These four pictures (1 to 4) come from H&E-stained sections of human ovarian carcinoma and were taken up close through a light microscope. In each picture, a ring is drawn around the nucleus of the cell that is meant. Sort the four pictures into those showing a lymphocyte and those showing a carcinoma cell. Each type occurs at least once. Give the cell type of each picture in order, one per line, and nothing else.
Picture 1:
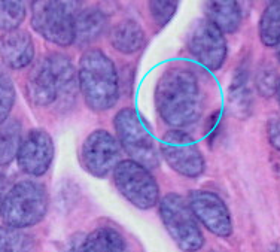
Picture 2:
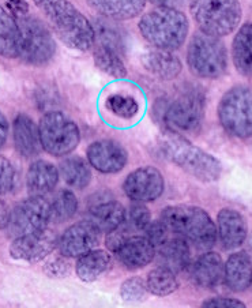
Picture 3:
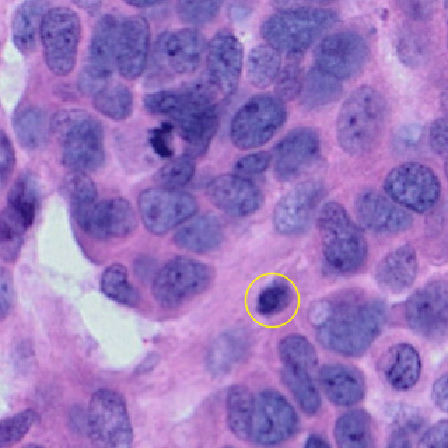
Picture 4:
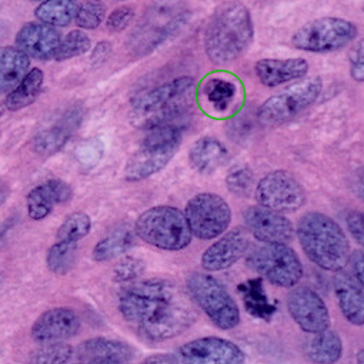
carcinoma cell
lymphocyte
lymphocyte
lymphocyte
